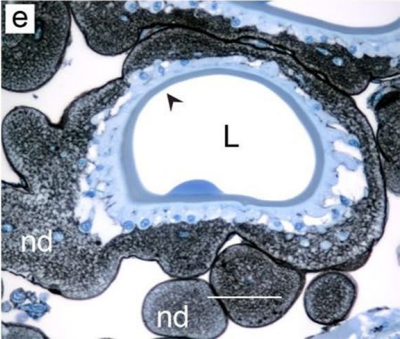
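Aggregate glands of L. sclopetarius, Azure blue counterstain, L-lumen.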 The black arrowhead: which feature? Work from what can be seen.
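Cuticle. A smooth, acellular pale blue band lines the round lumen. Epithelial cells lie outside this band.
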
